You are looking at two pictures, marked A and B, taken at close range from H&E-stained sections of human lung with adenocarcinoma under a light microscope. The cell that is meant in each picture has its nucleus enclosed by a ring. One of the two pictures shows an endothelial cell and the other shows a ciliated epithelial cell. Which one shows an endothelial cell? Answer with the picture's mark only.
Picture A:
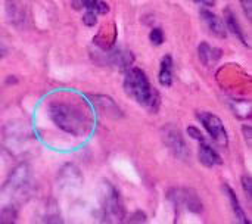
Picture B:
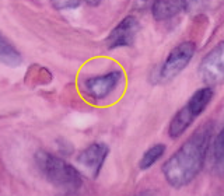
B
